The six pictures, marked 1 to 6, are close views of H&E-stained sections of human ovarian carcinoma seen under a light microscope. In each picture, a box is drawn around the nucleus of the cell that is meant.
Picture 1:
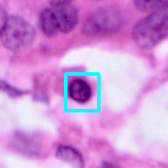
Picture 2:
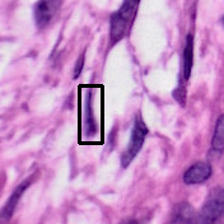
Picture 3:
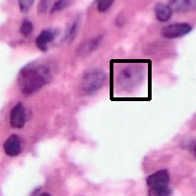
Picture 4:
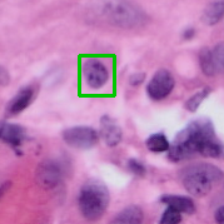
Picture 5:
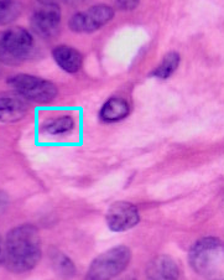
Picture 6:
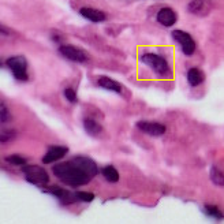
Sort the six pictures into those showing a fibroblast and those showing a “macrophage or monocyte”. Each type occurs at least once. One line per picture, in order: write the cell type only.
macrophage or monocyte
fibroblast
macrophage or monocyte
macrophage or monocyte
macrophage or monocyte
fibroblast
